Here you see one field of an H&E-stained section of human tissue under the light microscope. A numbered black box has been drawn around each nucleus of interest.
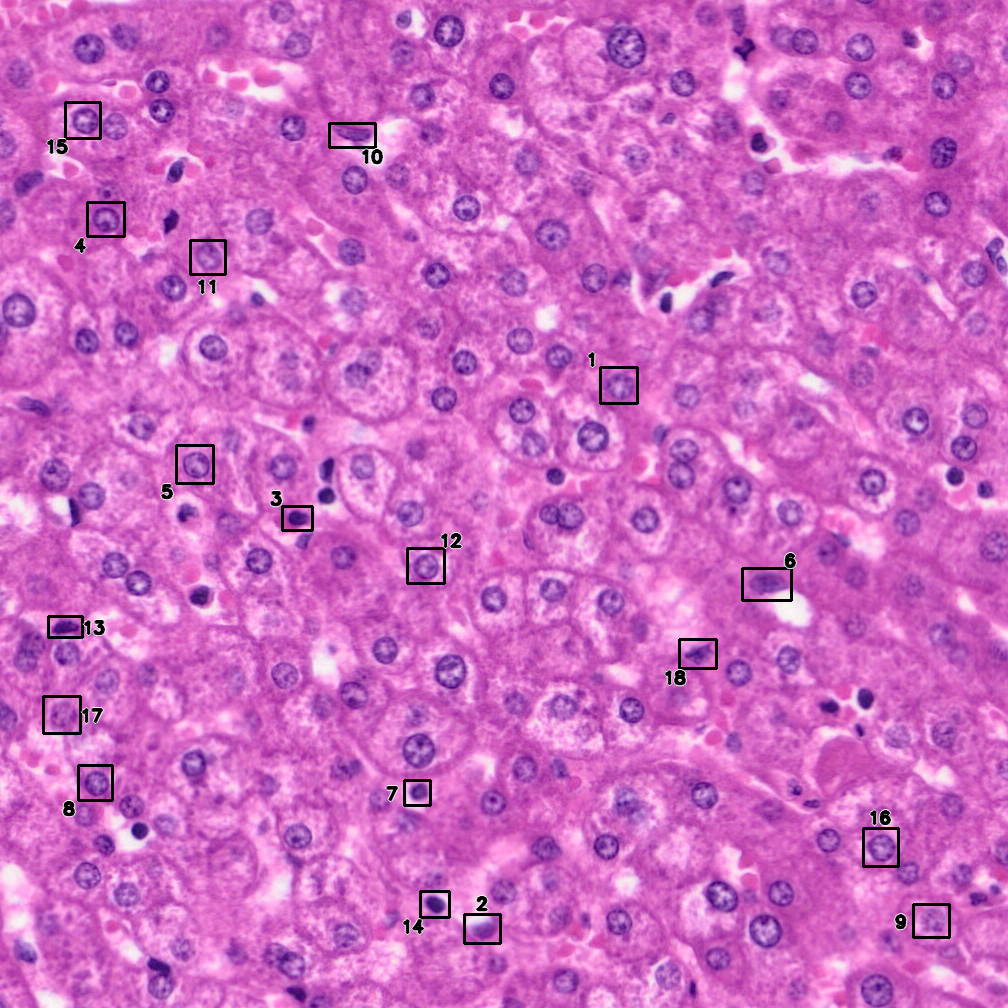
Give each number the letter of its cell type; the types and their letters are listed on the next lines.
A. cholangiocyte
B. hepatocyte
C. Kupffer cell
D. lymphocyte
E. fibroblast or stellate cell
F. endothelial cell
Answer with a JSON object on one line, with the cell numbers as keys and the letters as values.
{"1": "B", "2": "F", "3": "D", "4": "B", "5": "B", "6": "F", "7": "D", "8": "B", "9": "B", "10": "C", "11": "B", "12": "B", "13": "E", "14": "D", "15": "B", "16": "B", "17": "B", "18": "F"}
